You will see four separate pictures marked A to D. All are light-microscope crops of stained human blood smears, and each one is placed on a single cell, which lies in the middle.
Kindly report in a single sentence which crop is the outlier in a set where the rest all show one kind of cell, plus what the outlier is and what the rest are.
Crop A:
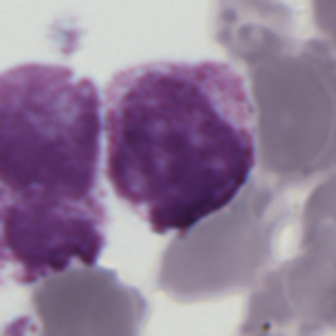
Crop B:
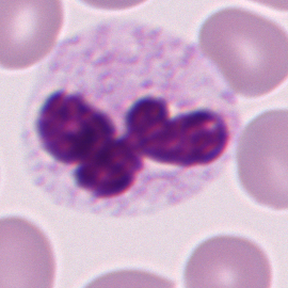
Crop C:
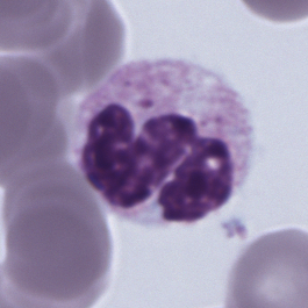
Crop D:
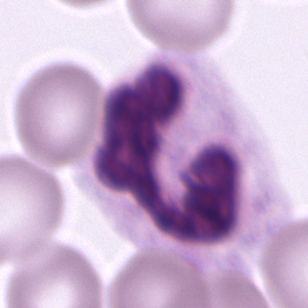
In every crop except crop A, which shows a basophil, segmented neutrophils are shown.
